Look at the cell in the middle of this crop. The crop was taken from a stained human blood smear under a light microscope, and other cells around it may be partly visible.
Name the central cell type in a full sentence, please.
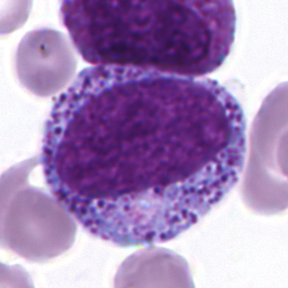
Here the centrally located cell is a promyelocyte.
